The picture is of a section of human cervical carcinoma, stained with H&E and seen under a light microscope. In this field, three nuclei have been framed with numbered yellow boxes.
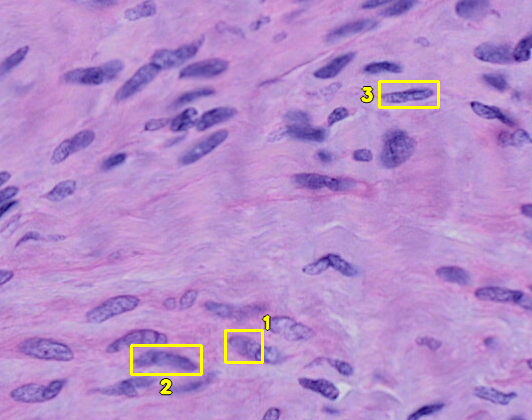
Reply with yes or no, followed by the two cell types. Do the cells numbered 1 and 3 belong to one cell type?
No, cell 1 is a smooth muscle cell and cell 3 is a fibroblast.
